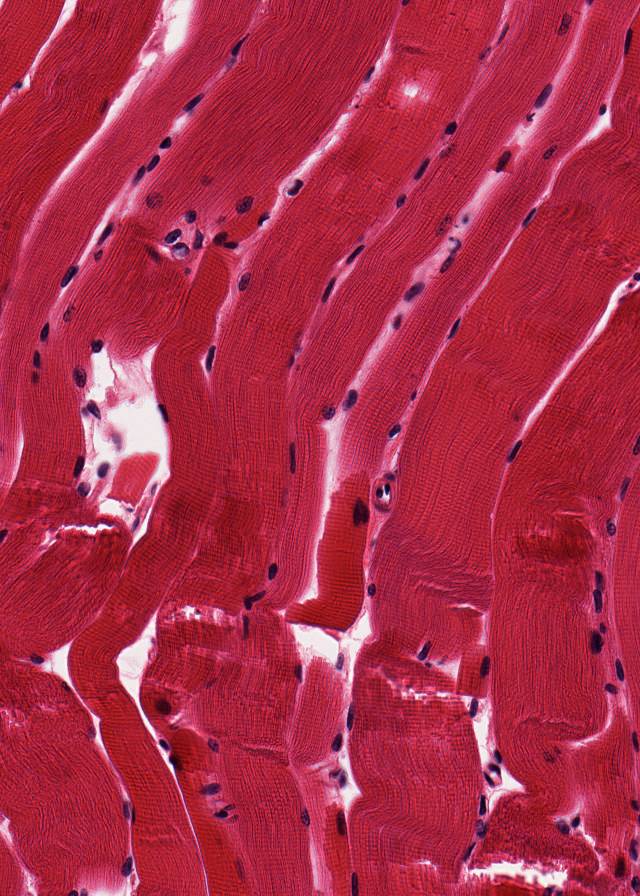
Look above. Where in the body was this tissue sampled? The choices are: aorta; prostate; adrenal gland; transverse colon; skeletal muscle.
skeletal muscle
